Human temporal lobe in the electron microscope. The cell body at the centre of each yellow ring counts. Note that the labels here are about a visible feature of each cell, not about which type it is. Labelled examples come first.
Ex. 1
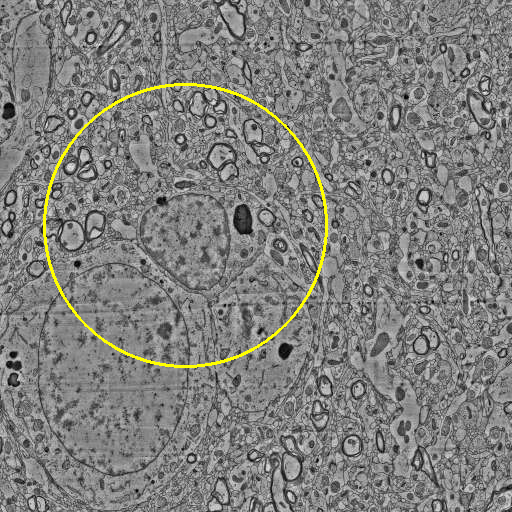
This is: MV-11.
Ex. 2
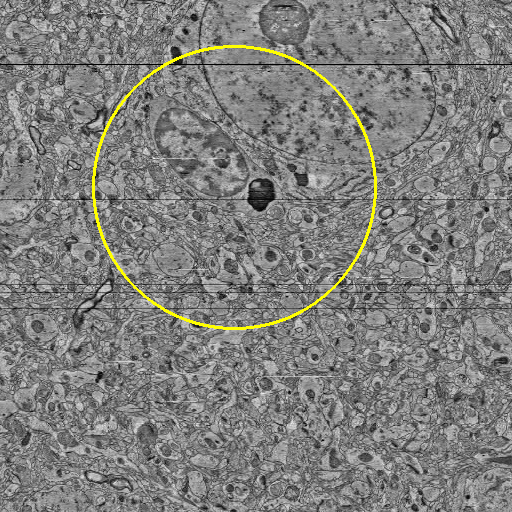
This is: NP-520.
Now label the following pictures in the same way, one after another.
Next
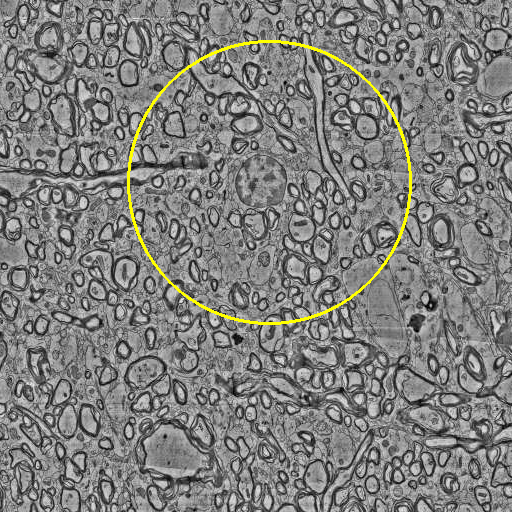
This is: MV-11.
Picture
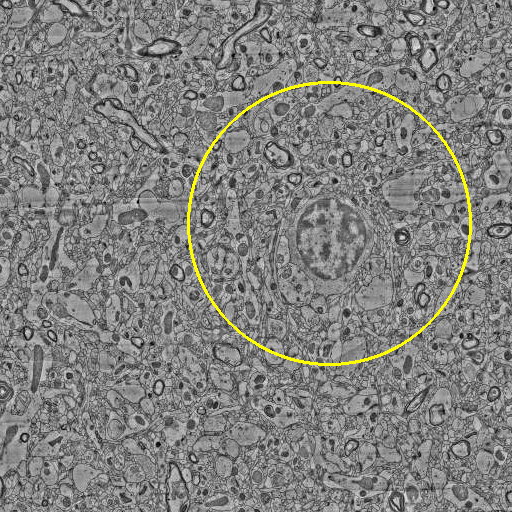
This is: MV-11.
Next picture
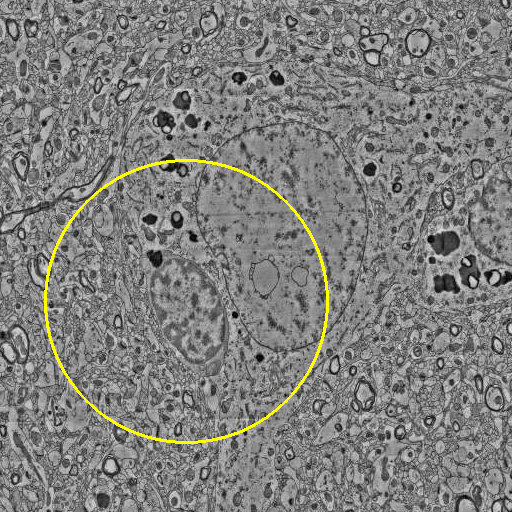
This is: NP-520.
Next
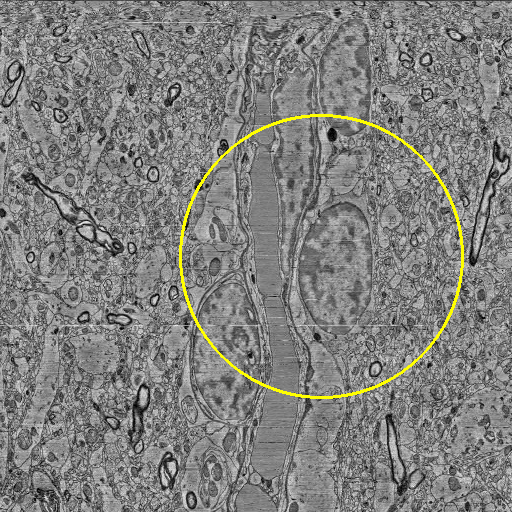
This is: NP-520.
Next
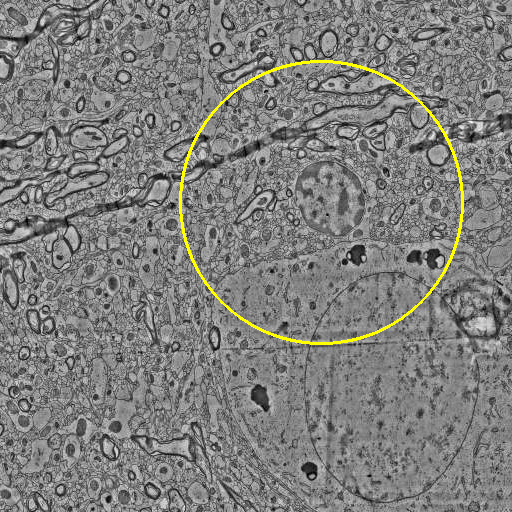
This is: MV-11.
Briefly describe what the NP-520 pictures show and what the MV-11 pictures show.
NP-520, clearly elongated nuclei; MV-11, round or nearly round nuclei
